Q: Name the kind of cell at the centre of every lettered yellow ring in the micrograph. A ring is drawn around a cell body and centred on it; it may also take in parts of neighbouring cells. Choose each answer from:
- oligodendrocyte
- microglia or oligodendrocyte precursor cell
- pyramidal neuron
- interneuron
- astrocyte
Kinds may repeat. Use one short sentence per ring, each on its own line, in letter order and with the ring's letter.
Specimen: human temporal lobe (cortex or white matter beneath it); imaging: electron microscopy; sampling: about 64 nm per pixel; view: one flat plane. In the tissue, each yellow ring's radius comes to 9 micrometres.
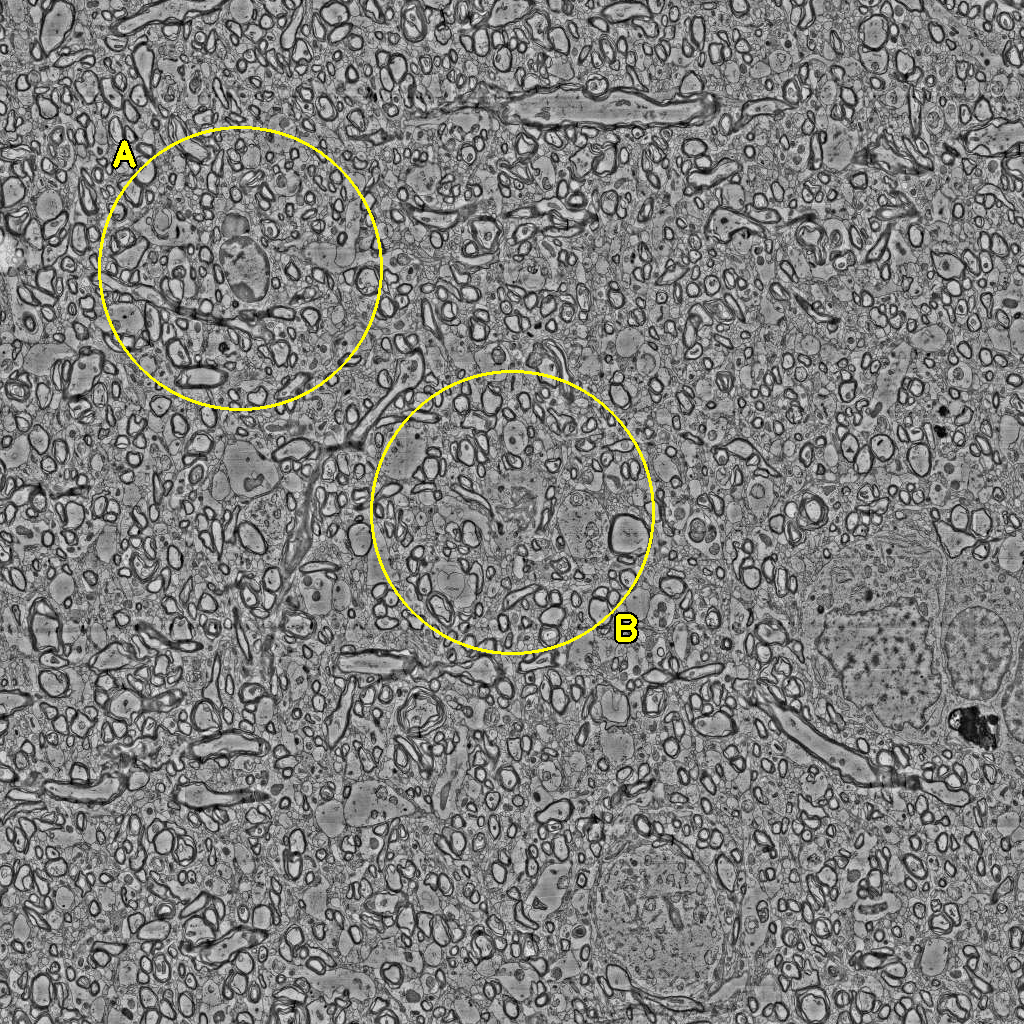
Ring A is placed around a microglial cell or oligodendrocyte precursor cell.
Ring B is placed around an oligodendrocyte.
